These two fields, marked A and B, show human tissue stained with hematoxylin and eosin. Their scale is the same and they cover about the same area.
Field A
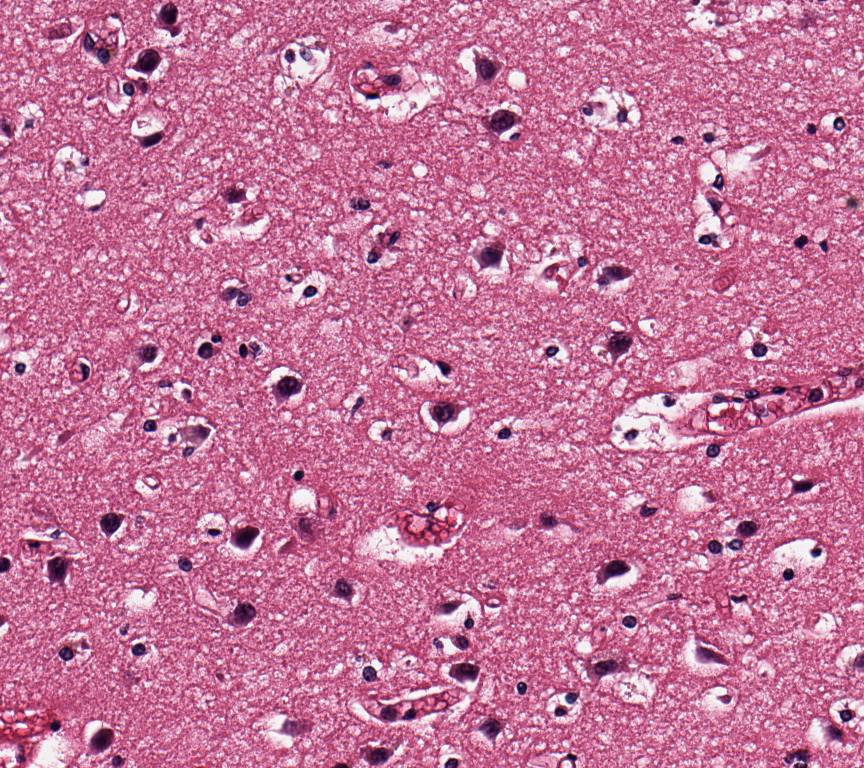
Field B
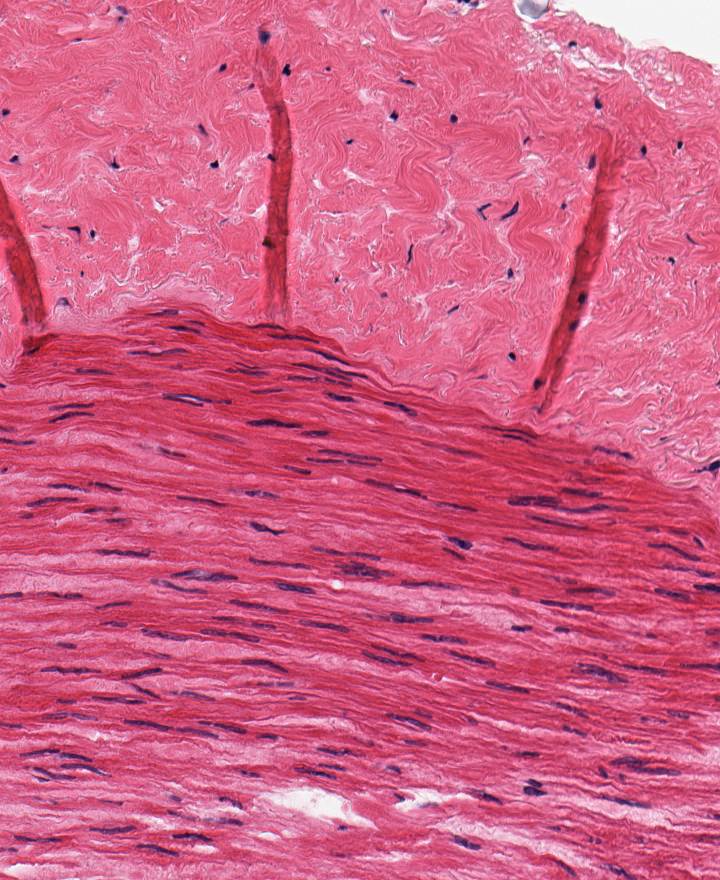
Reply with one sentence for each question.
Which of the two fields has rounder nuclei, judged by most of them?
It is field A whose nuclei are the rounder.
